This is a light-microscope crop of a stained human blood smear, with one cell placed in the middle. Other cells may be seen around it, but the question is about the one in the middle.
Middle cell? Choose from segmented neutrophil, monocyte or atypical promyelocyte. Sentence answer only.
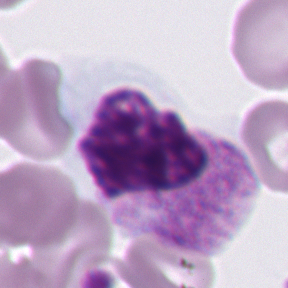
The cell marked by its central position in the crop is a segmented neutrophil.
